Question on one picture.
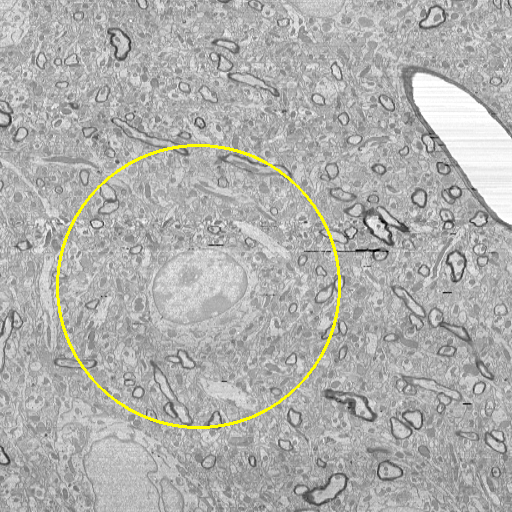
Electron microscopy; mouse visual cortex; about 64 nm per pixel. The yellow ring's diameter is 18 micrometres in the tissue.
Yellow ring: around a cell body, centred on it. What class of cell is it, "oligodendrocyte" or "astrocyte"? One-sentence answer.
This is an oligodendrocyte, the cell the ring is centred on.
